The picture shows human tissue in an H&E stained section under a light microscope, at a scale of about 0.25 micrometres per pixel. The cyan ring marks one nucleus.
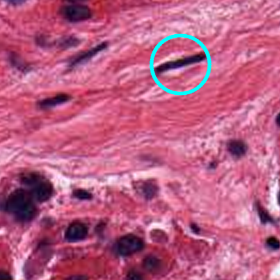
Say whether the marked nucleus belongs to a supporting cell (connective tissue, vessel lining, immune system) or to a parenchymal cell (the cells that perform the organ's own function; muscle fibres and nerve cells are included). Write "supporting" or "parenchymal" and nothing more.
supporting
